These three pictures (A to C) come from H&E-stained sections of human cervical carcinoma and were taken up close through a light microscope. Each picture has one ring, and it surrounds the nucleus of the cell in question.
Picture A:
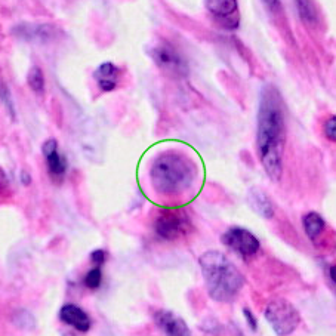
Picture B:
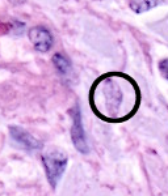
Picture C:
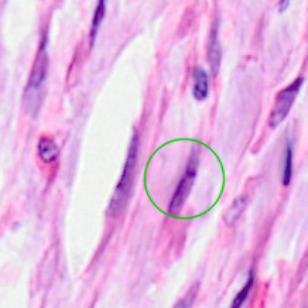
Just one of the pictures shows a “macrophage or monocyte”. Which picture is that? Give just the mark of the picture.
A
